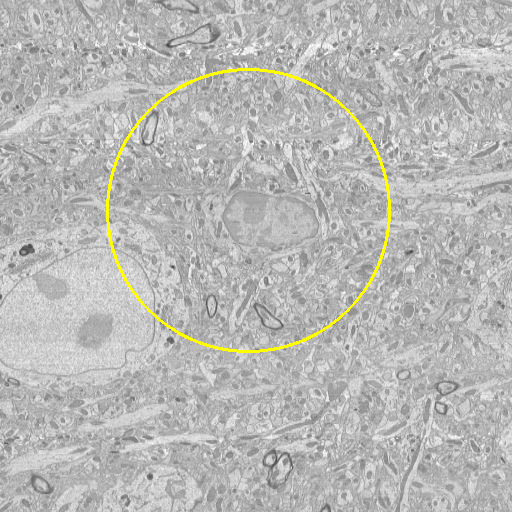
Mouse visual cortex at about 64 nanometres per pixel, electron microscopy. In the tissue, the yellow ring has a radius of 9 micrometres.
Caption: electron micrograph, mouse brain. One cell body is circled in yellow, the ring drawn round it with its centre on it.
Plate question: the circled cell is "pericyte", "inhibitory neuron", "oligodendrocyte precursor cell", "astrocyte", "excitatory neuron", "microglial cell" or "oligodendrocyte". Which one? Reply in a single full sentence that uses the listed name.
The yellow ring on the plate is centred on a microglial cell, going by the listed names.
